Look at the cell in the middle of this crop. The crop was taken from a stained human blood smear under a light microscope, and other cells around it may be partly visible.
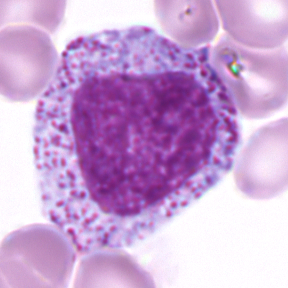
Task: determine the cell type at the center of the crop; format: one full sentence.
The cell under consideration, at the middle of the crop, is a myelocyte.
